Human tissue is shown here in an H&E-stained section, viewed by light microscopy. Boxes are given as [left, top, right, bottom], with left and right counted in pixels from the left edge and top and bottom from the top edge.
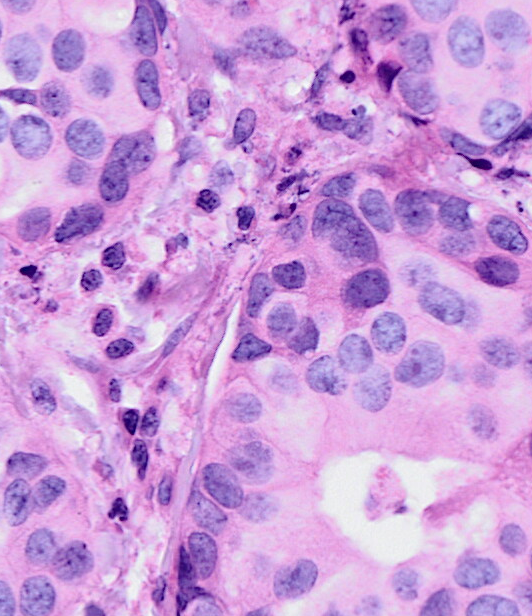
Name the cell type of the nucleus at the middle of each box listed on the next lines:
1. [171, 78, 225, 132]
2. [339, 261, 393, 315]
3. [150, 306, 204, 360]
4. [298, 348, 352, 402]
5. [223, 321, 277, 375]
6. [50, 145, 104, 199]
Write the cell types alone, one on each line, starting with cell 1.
macrophage, monocyte or dendritic cell
carcinoma cell
fibroblast
carcinoma cell
carcinoma cell
carcinoma cell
